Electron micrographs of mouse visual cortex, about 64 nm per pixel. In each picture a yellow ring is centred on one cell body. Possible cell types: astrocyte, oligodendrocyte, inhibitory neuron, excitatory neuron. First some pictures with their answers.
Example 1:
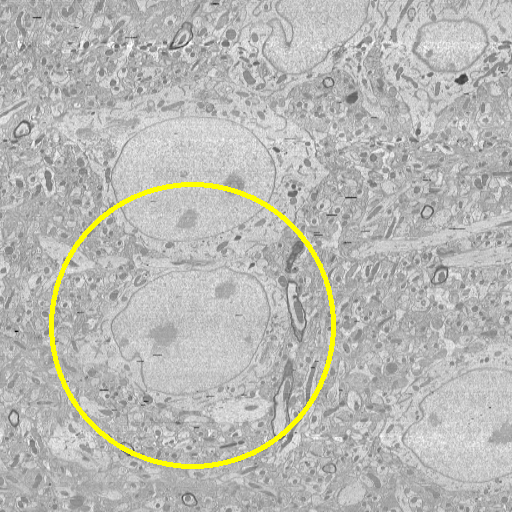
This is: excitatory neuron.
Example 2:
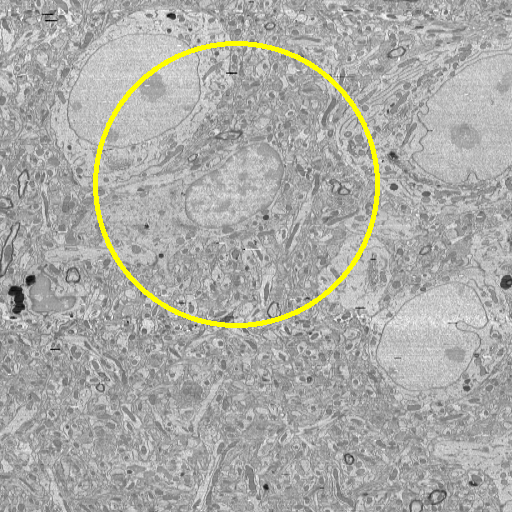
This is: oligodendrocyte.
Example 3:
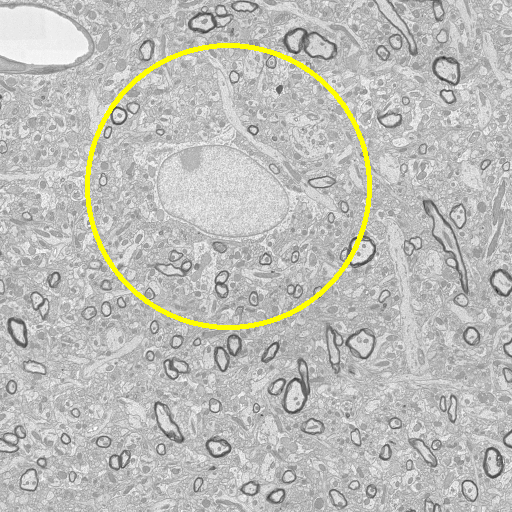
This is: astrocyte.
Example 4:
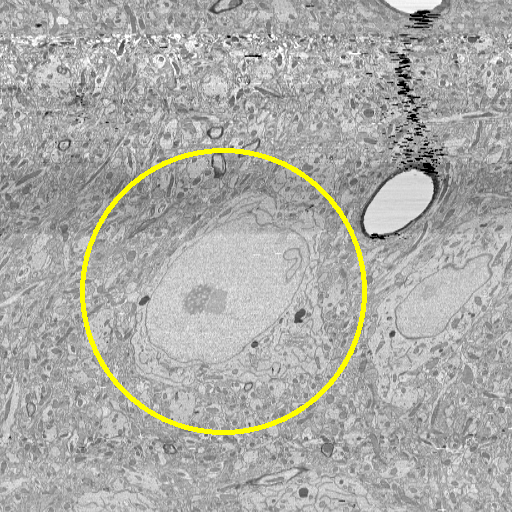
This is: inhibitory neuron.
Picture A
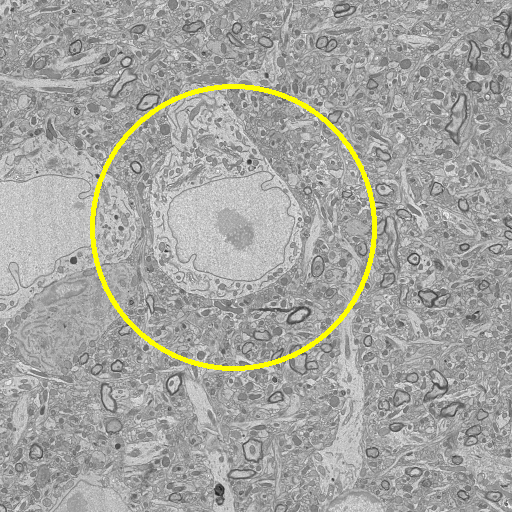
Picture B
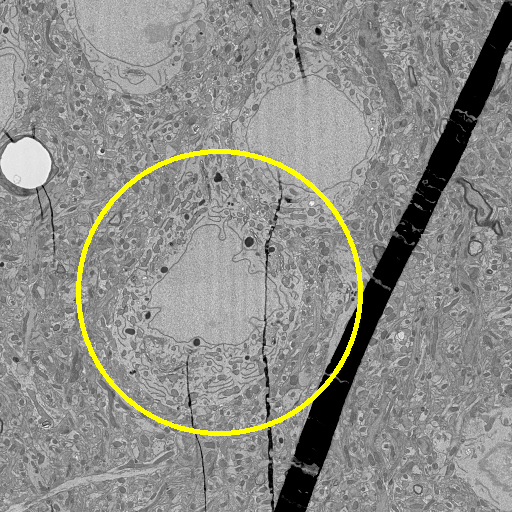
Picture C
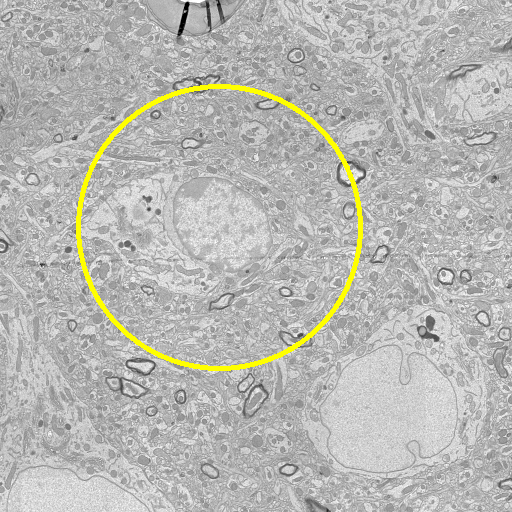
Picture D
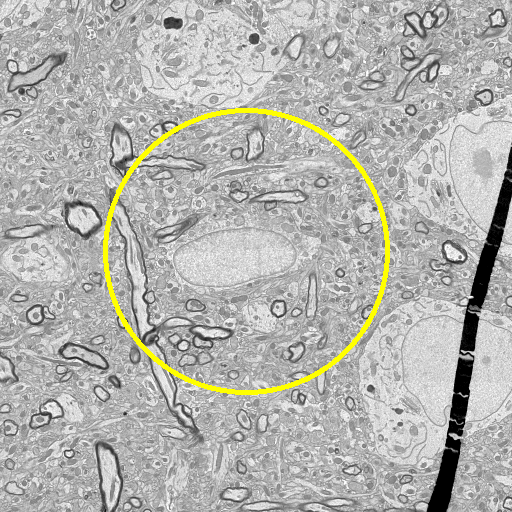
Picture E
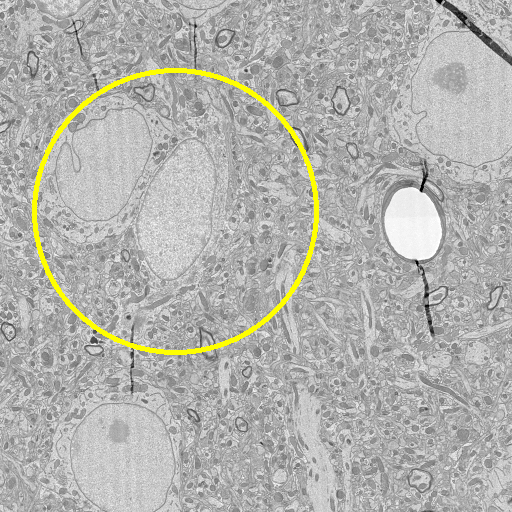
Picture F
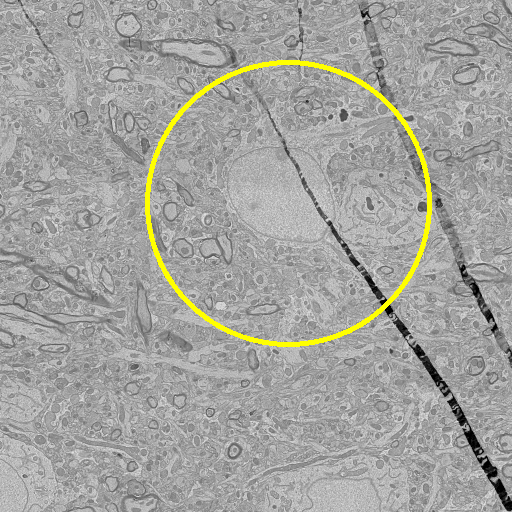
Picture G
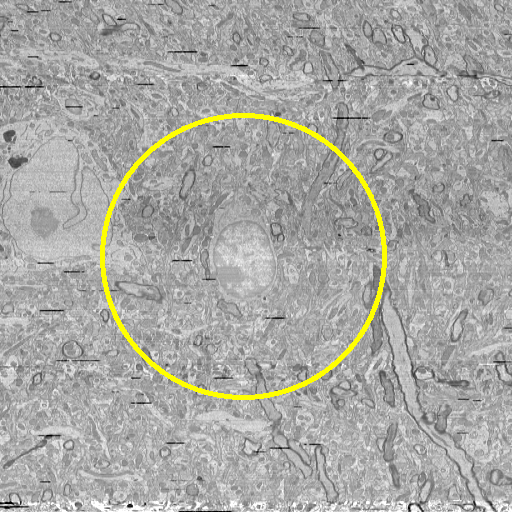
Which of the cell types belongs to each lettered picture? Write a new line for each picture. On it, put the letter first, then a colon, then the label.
A: inhibitory neuron.
B: inhibitory neuron.
C: oligodendrocyte.
D: astrocyte.
E: astrocyte.
F: astrocyte.
G: oligodendrocyte.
